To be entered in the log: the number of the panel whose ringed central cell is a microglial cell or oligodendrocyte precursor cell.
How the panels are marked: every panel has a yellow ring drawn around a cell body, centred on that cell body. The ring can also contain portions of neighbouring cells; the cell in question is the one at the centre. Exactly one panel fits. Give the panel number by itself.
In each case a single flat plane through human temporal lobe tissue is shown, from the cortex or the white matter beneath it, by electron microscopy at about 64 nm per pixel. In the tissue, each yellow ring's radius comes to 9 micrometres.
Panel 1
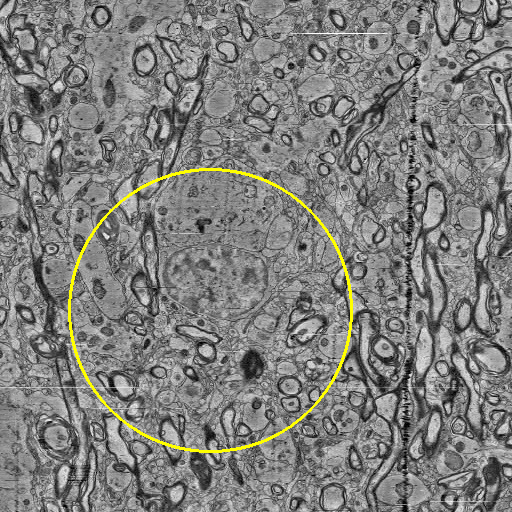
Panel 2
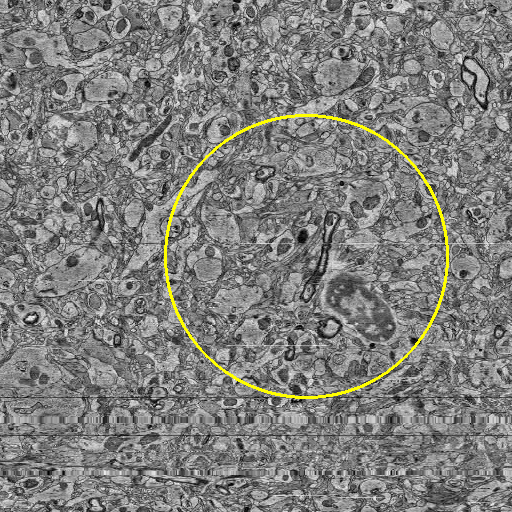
2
